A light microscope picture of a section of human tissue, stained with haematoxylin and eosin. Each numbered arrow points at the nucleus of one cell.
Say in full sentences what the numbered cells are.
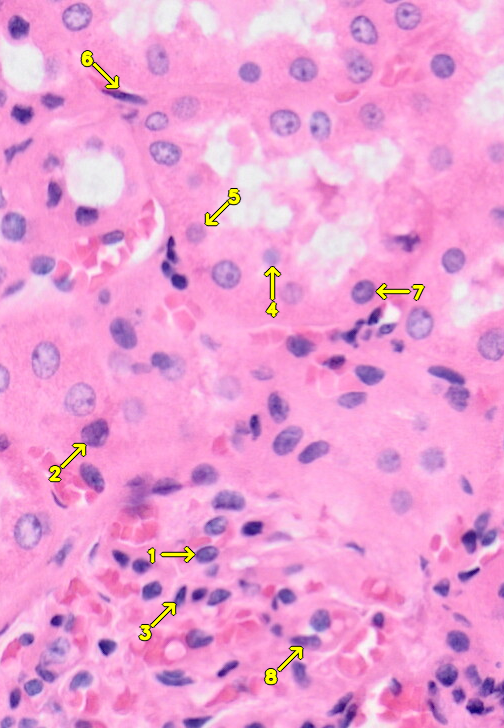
Cells 1, 3, 6 and 8 are endothelial cells. Cells 2, 4, 5 and 7 are proximal tubule cells.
